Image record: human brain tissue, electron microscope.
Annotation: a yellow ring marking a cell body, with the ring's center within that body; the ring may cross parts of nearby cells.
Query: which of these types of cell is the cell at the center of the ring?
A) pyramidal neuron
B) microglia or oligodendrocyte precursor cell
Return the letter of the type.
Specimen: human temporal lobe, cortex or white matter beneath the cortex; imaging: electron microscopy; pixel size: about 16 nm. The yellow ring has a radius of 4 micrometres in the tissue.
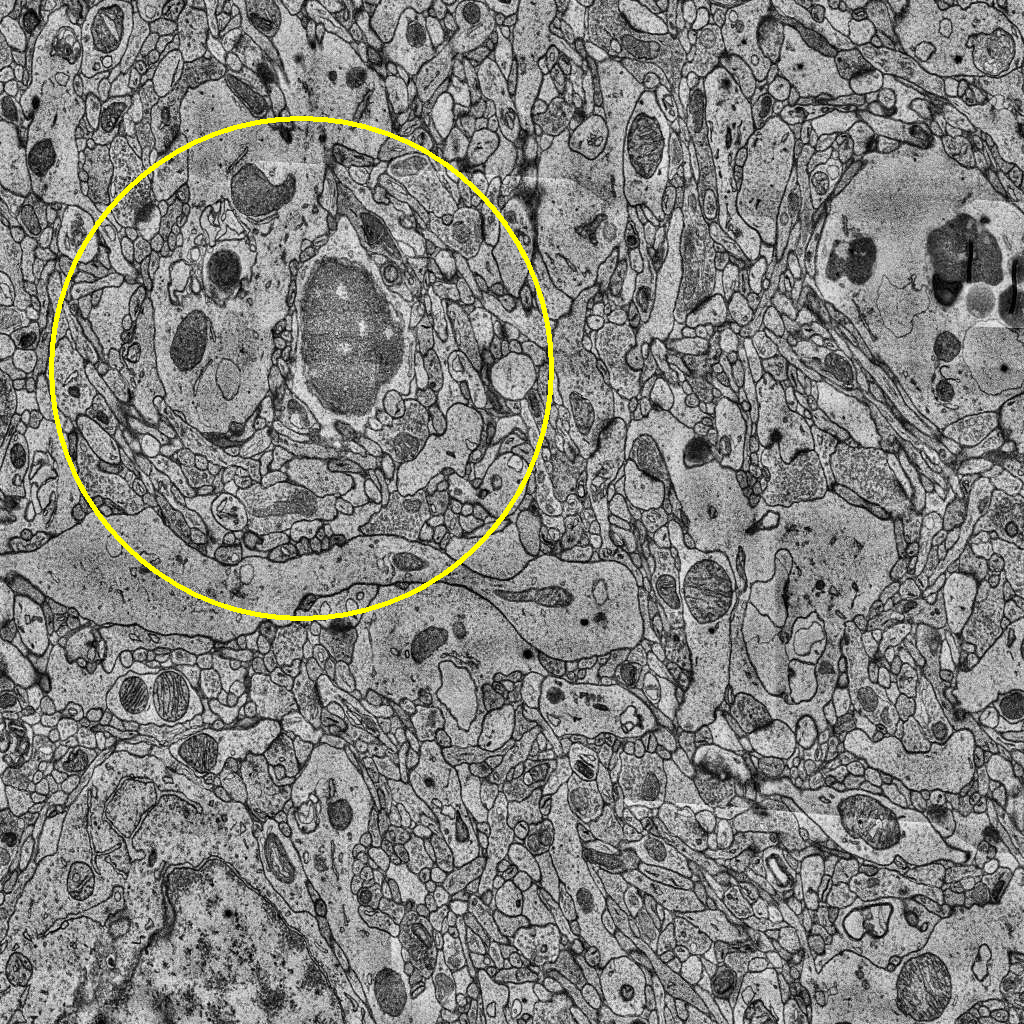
B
